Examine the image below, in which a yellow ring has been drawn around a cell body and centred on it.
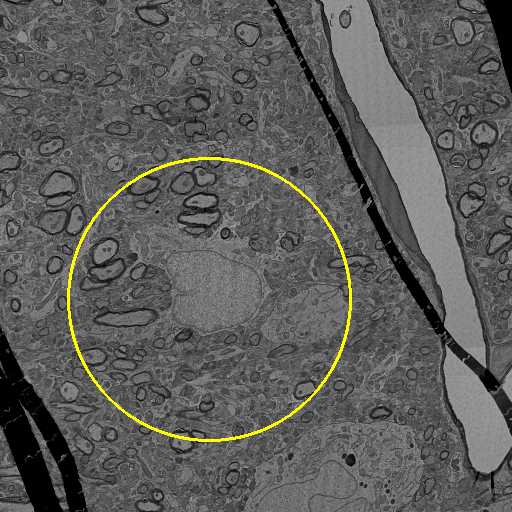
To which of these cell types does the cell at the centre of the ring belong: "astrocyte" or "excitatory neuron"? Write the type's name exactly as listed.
astrocyte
